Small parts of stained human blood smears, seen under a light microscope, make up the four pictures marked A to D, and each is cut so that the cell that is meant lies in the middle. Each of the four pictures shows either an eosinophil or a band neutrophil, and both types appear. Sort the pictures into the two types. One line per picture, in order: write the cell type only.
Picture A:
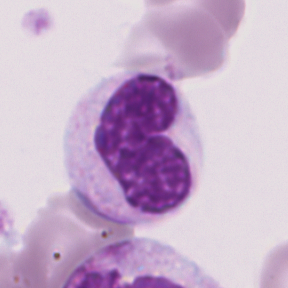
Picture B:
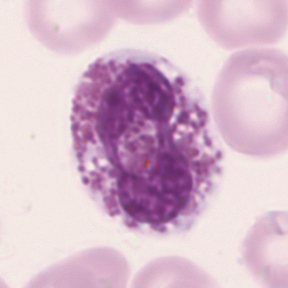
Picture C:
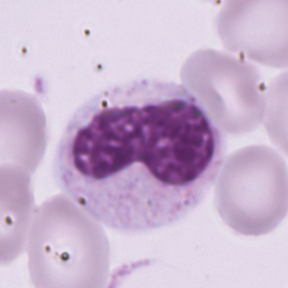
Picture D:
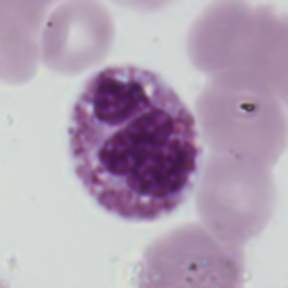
band neutrophil
eosinophil
band neutrophil
eosinophil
